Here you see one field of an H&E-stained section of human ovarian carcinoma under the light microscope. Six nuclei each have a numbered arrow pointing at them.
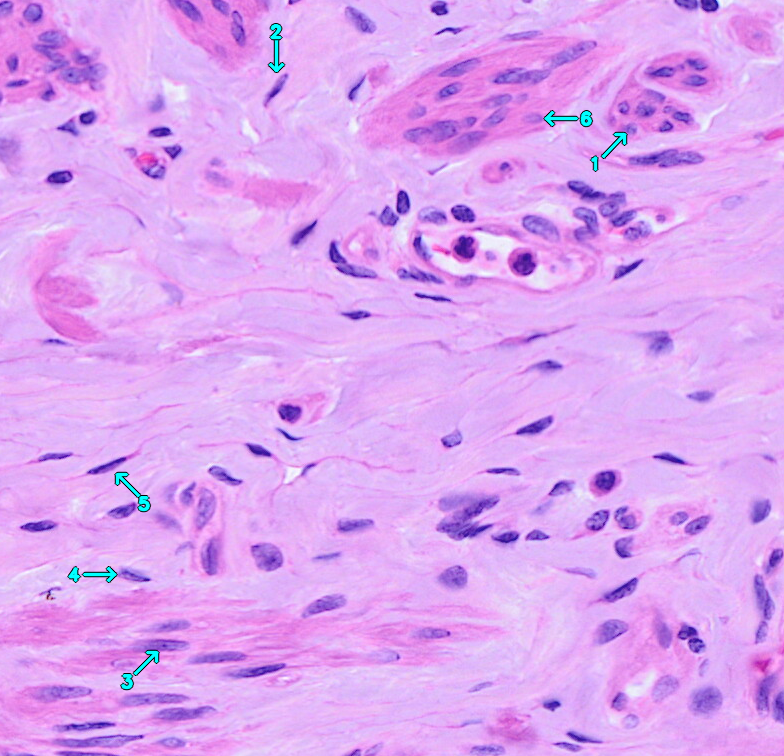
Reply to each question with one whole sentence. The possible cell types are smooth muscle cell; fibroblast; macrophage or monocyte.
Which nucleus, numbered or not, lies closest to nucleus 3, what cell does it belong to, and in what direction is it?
Lying above and to the right of nucleus 3, the nearest nucleus is that of a smooth muscle cell.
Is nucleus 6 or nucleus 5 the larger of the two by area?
Nucleus 5 covers more area, about 2 times as much as nucleus 6.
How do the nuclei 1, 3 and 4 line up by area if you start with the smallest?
The order from the smallest nucleus to the largest is 1, 4, 3.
